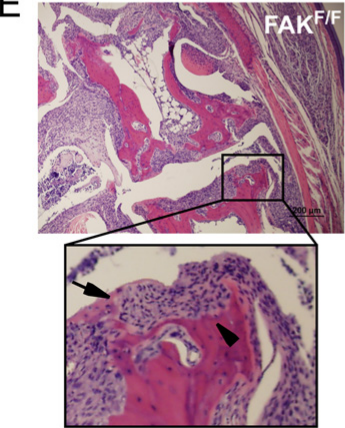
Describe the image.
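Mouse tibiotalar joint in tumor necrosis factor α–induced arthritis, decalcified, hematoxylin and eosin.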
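In the enlarged field, a sheet of crowded cells with small dark nuclei, the pannus, lies directly on the articular matrix and has eroded into it. Pockets of this cellular tissue extend into the pink bone, leaving its edge irregular and scalloped. Marrow spaces with clustered clear fat cells are visible within the bones.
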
